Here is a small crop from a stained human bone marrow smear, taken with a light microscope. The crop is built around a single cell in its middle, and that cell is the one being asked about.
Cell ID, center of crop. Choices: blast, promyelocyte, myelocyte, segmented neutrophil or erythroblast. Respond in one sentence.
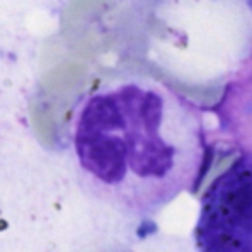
This crop is built around a segmented neutrophil at its centre.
